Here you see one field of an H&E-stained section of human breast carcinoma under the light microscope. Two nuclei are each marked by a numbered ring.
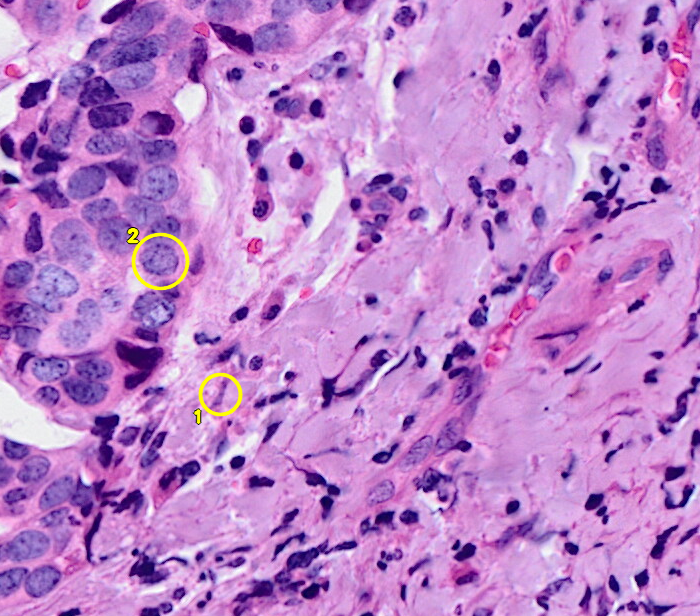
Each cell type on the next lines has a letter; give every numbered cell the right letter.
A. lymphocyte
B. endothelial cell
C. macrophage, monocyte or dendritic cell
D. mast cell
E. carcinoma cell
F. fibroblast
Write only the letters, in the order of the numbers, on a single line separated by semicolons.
F; E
